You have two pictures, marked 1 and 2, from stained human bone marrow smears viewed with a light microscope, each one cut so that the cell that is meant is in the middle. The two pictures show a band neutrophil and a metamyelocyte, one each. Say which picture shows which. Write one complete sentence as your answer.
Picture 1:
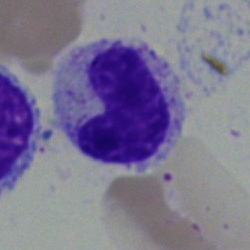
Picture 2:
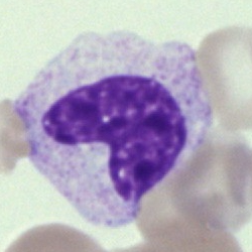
Picture 1 is of a band neutrophil, and picture 2 is of a metamyelocyte.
